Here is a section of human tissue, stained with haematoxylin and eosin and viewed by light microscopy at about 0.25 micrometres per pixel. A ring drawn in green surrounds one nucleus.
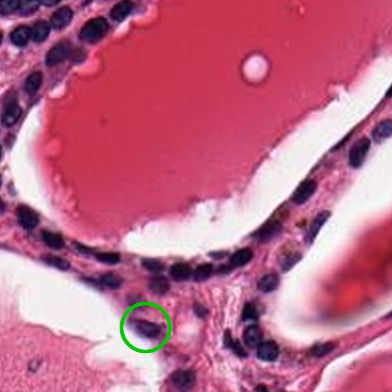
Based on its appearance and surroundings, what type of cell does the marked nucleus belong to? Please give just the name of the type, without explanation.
thyroid follicular cell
